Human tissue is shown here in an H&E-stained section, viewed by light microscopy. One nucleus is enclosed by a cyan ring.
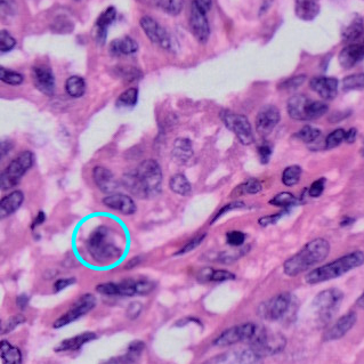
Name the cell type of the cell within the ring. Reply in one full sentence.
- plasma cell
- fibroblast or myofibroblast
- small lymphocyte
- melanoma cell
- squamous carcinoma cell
The cell type represented by the cell within the ring is that of a melanoma cell.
